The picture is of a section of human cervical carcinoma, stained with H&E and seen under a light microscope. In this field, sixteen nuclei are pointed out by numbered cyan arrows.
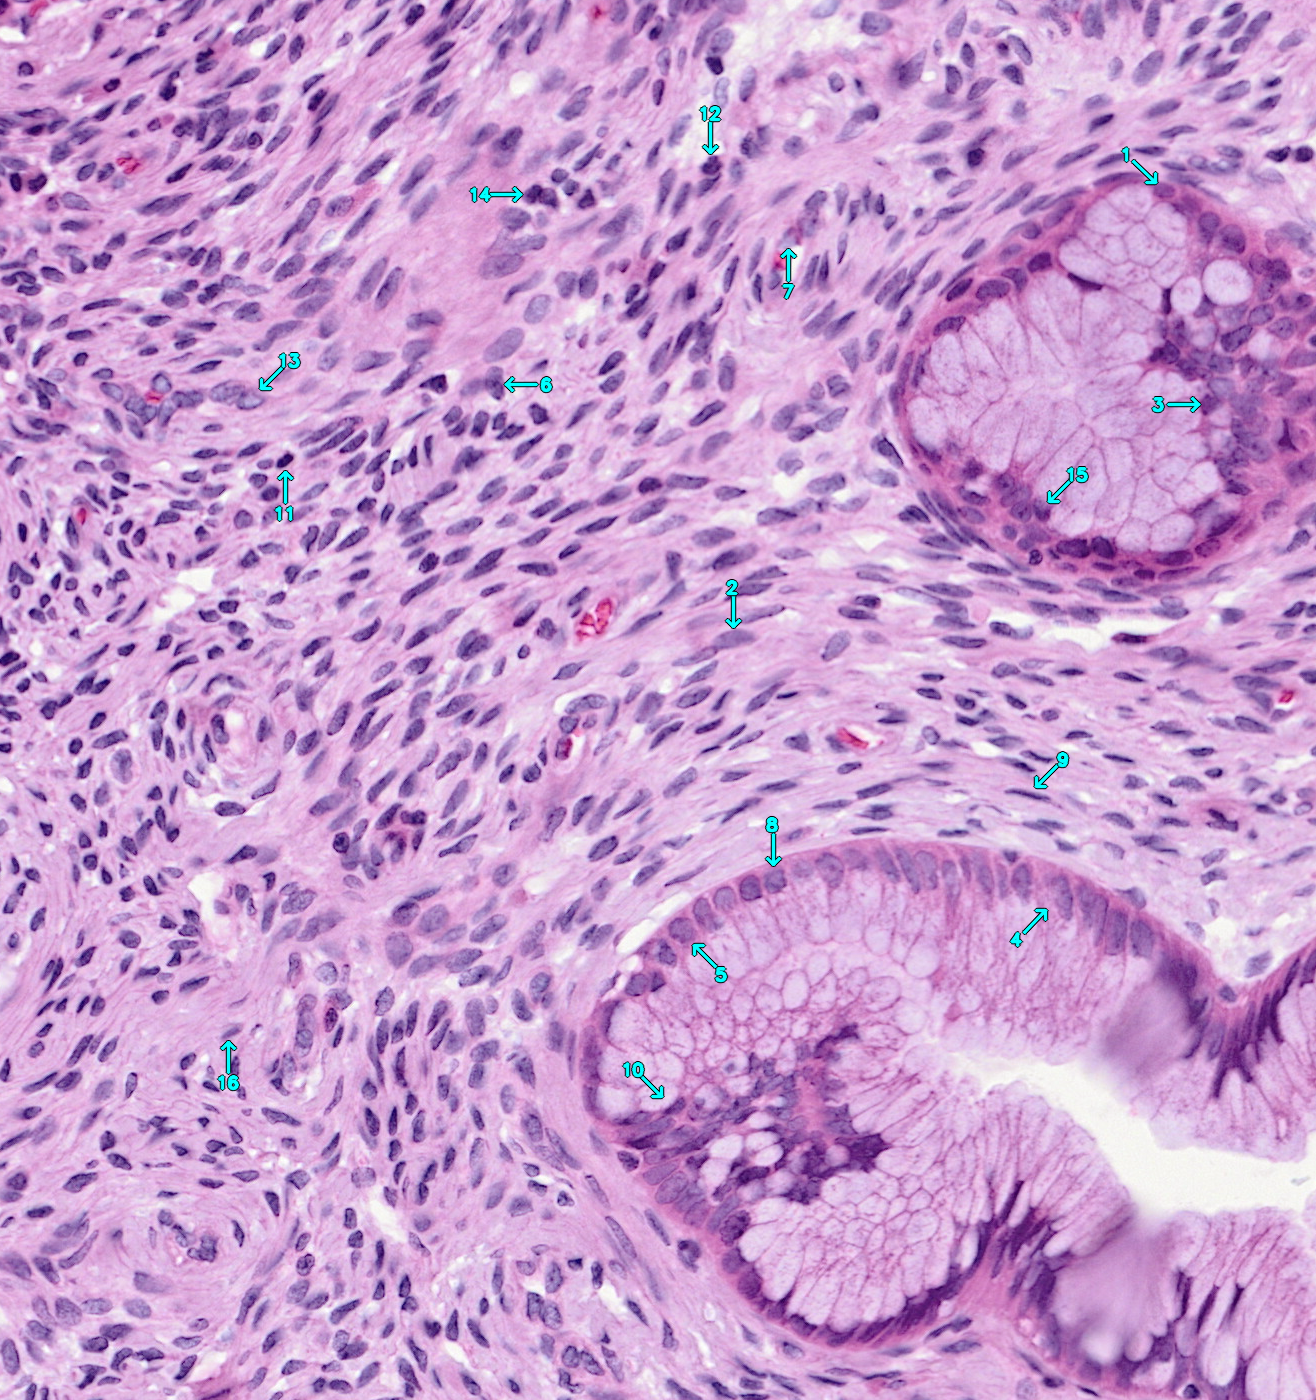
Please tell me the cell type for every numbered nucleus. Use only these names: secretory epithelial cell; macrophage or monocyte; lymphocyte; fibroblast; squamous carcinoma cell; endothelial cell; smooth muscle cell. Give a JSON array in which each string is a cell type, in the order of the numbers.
["secretory epithelial cell", "fibroblast", "secretory epithelial cell", "secretory epithelial cell", "secretory epithelial cell", "fibroblast", "endothelial cell", "secretory epithelial cell", "fibroblast", "secretory epithelial cell", "lymphocyte", "lymphocyte", "endothelial cell", "lymphocyte", "secretory epithelial cell", "fibroblast"]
